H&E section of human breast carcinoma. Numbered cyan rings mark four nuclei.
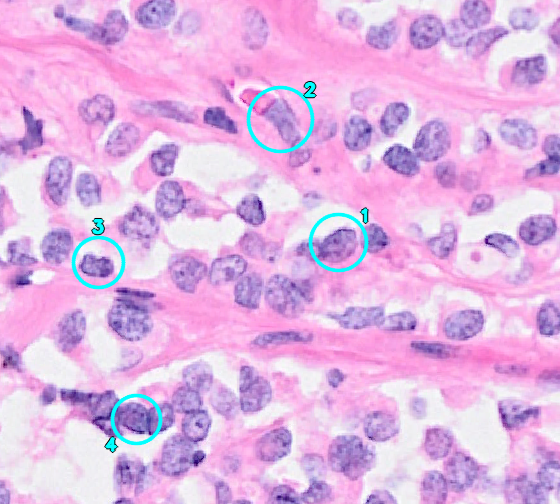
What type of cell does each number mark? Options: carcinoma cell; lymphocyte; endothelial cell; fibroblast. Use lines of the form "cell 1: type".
cell 1: carcinoma cell
cell 2: endothelial cell
cell 3: carcinoma cell
cell 4: carcinoma cell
